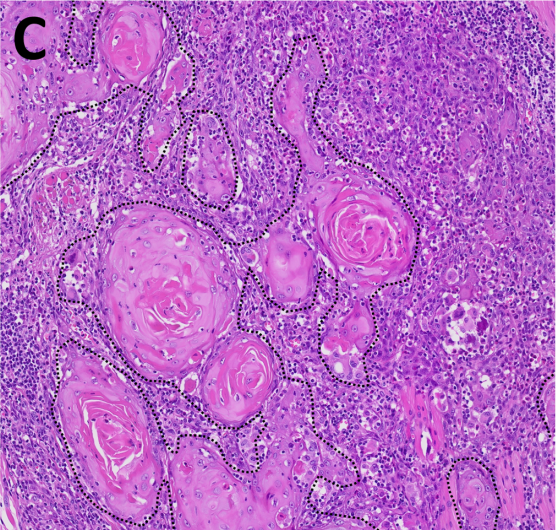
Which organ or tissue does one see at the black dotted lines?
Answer: Tumor area.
